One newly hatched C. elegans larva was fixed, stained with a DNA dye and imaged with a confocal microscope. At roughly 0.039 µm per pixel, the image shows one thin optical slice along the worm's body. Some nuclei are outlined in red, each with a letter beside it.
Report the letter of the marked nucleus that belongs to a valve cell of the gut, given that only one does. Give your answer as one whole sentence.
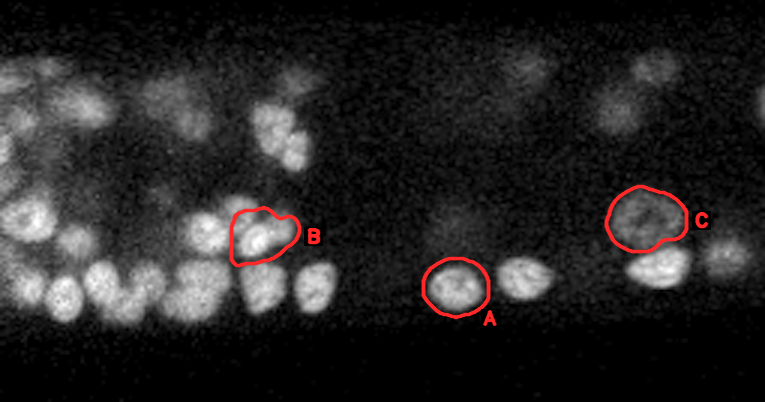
B is the nucleus of a valve cell of the gut.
